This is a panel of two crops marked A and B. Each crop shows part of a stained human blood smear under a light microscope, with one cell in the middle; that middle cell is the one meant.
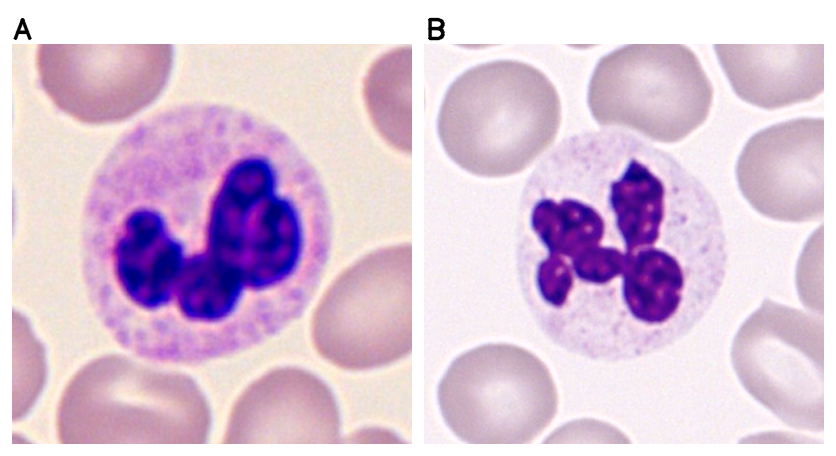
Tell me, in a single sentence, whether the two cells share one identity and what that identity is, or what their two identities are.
Yes, in both crops the centred cells are neutrophils.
